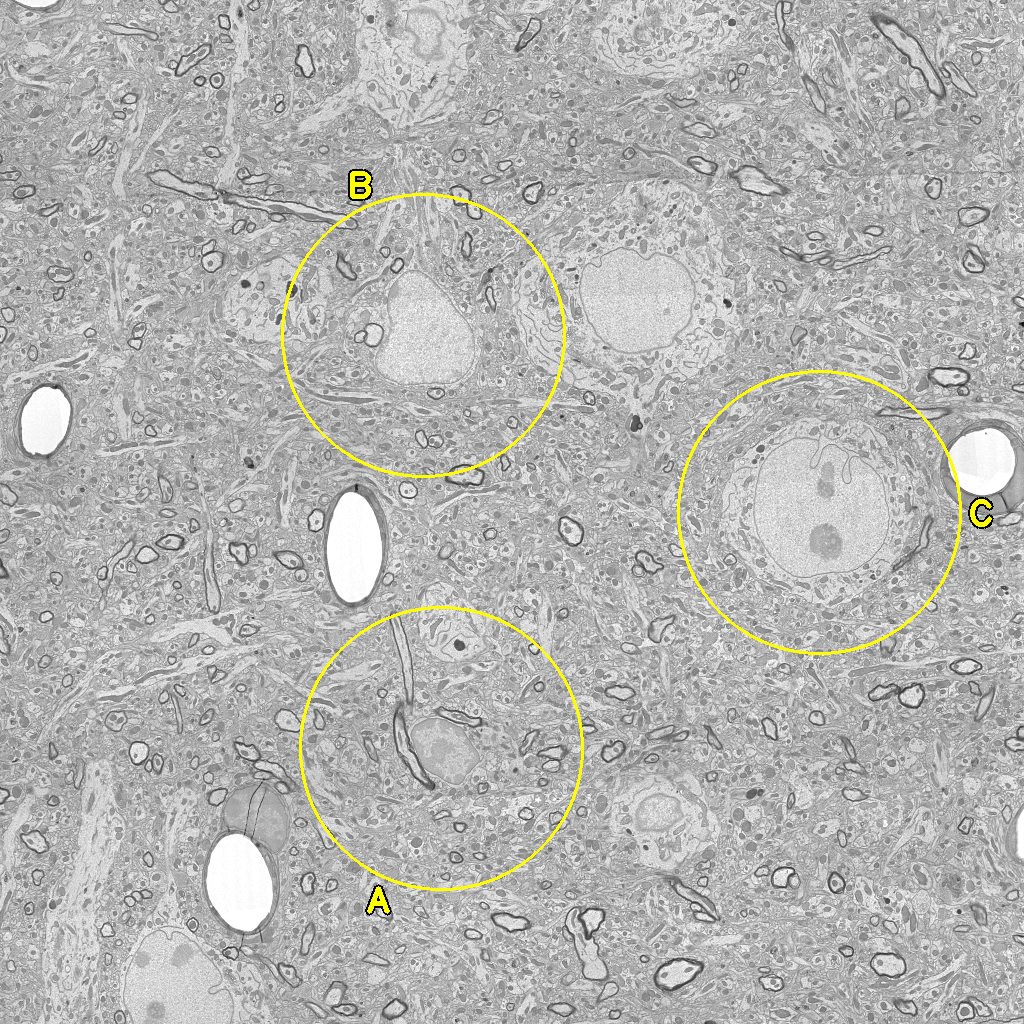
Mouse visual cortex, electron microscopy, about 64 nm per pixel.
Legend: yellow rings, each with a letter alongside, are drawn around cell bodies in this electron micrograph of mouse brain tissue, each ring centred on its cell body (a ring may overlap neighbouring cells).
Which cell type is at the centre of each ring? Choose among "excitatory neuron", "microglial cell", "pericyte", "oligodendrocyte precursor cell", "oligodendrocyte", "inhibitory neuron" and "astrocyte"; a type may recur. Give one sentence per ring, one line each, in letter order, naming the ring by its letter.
Ring A has a microglial cell at its centre.
Ring B has an astrocyte at its centre.
Ring C has an excitatory neuron at its centre.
